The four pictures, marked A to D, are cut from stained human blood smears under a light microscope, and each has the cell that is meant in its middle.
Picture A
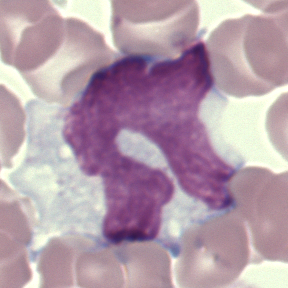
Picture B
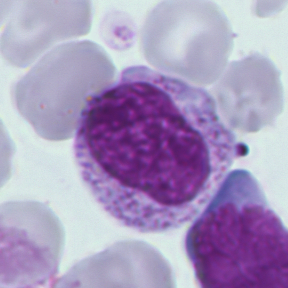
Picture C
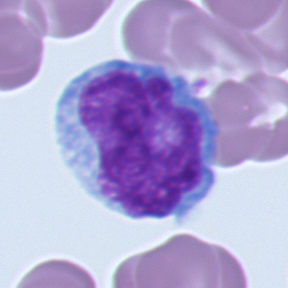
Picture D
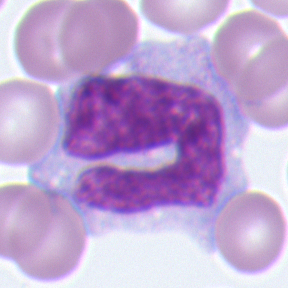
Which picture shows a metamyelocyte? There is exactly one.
B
